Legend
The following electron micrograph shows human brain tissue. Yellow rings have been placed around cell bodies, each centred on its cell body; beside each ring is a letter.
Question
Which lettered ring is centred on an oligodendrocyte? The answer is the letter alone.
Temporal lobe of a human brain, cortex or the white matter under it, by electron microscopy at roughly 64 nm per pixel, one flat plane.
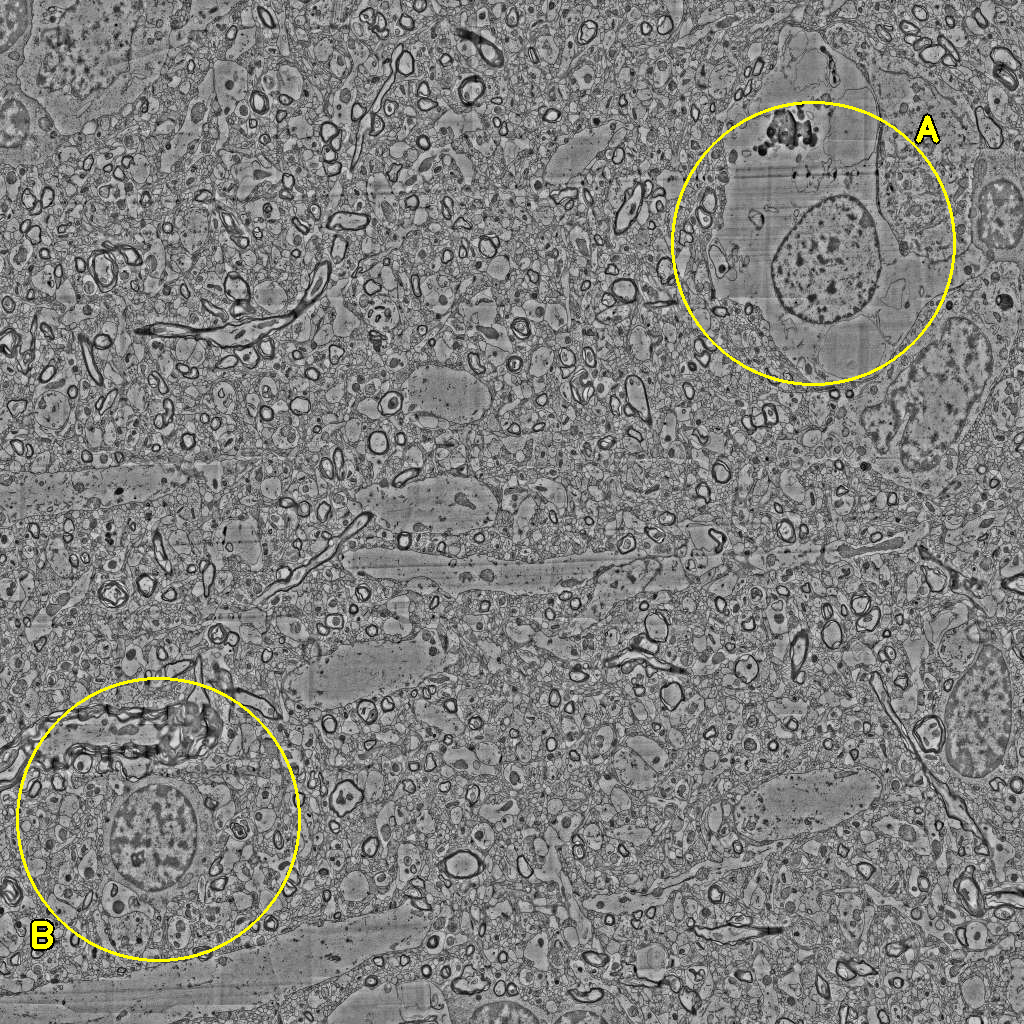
B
